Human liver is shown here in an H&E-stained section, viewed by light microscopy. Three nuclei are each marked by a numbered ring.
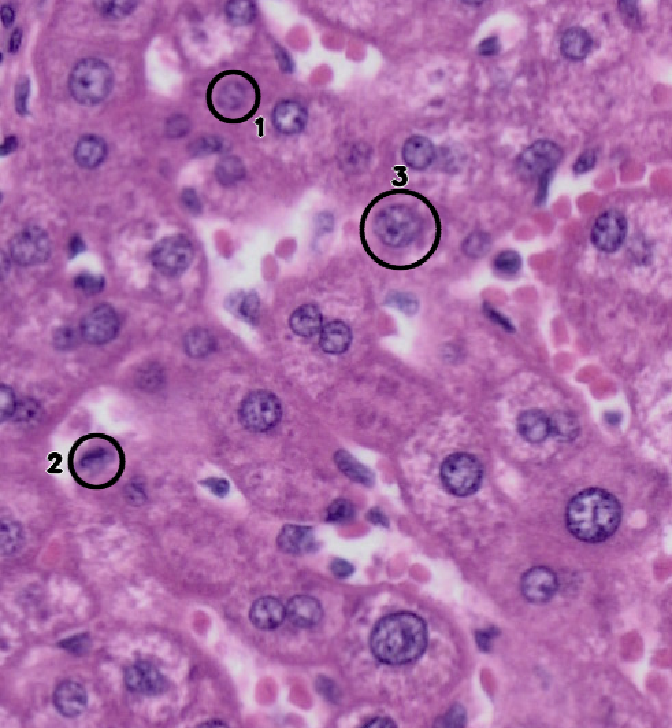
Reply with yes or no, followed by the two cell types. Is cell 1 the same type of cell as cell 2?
No, cell 1 is to be identified as a hepatocyte and cell 2 as a Kupffer cell.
